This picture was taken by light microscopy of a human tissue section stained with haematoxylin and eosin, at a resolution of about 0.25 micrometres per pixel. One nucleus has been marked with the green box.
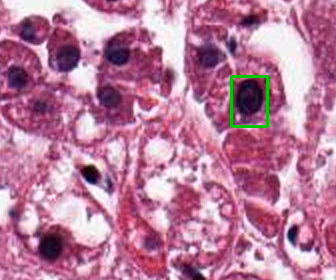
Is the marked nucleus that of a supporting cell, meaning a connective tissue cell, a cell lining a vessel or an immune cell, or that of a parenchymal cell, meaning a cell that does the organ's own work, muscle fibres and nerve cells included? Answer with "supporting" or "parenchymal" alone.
parenchymal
